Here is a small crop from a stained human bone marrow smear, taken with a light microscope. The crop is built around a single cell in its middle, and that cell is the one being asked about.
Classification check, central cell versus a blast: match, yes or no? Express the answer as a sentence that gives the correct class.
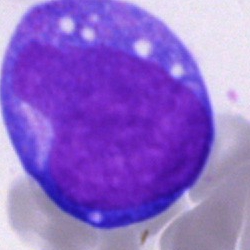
Yes, shown in the middle of the crop is a blast.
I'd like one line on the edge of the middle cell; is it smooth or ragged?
No surface projections are present; the cell outline is smooth.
